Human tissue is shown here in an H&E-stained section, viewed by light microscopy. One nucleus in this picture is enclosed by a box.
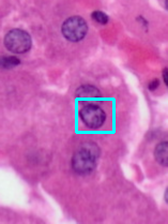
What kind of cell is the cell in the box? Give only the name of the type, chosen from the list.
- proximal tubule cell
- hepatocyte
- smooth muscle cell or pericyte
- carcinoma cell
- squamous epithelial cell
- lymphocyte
hepatocyte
